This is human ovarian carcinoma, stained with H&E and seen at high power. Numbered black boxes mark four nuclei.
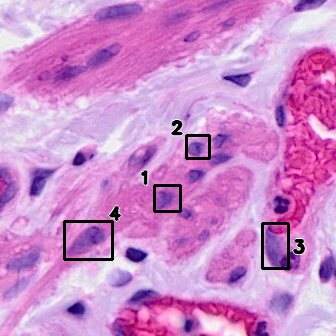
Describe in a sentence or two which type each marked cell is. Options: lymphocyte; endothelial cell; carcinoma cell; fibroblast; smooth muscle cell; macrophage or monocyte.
Cell 1 is a smooth muscle cell, cell 2 is a smooth muscle cell, cell 3 is an endothelial cell and cell 4 is a smooth muscle cell.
